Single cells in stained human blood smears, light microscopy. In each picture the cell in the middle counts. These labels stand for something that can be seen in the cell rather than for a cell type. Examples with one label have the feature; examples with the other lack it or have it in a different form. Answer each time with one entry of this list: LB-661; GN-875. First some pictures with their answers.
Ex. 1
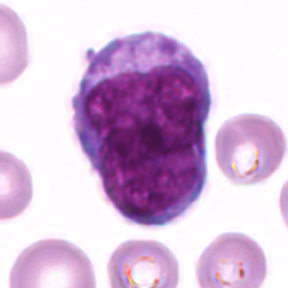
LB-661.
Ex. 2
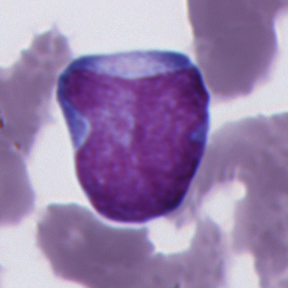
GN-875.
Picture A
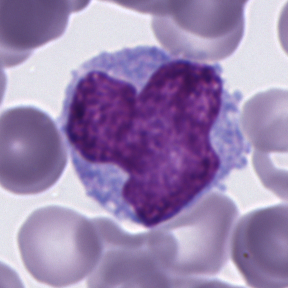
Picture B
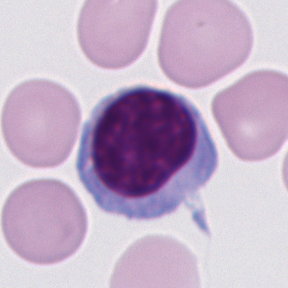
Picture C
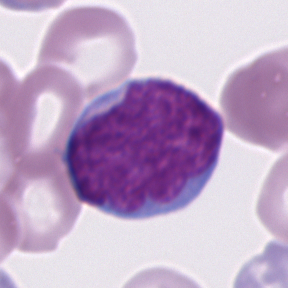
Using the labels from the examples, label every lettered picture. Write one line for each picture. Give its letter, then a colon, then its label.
A: LB-661.
B: LB-661.
C: GN-875.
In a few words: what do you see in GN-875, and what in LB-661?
In GN-875: smooth outline. In LB-661: ragged outline or projections.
